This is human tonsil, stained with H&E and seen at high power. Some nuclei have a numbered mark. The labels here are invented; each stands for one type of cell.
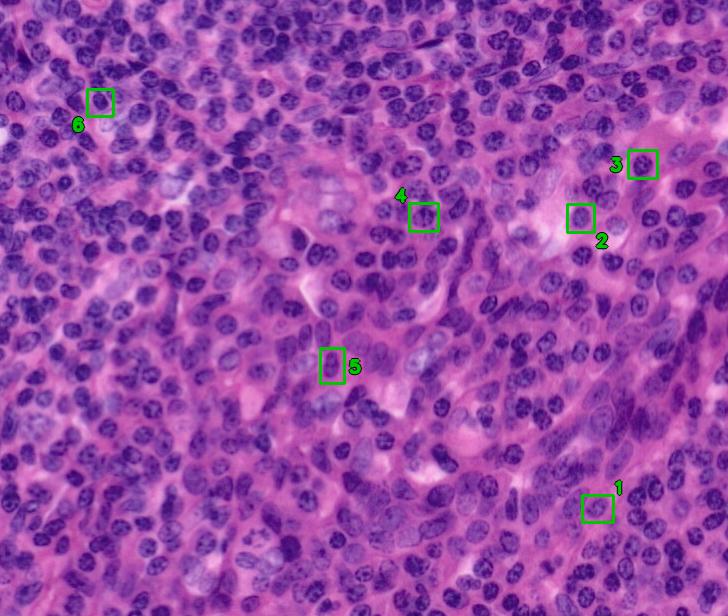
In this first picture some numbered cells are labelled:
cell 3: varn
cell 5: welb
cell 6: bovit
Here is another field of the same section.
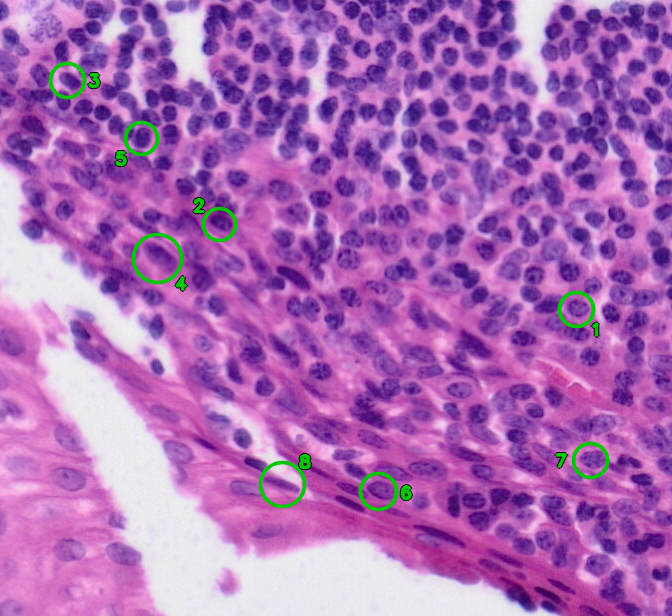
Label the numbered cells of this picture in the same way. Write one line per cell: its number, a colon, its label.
1: varn
2: varn
3: bovit
4: welb
5: bovit
6: welb
7: welb
8: welb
